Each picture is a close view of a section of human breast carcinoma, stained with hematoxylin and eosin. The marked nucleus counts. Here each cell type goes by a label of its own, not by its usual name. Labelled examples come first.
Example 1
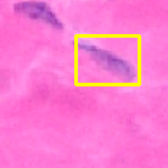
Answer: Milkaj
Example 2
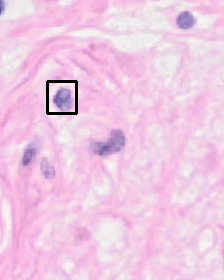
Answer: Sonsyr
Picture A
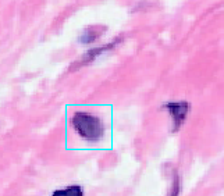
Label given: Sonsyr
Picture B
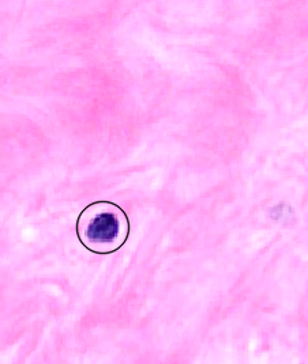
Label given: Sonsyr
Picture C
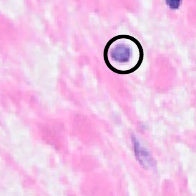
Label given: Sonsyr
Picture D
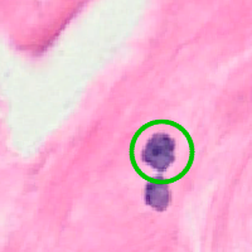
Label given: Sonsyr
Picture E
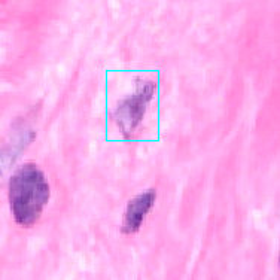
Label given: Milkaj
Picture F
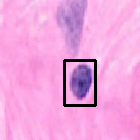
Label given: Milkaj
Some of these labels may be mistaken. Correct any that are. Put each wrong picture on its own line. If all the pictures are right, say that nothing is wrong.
F: Sonsyr, not Milkaj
